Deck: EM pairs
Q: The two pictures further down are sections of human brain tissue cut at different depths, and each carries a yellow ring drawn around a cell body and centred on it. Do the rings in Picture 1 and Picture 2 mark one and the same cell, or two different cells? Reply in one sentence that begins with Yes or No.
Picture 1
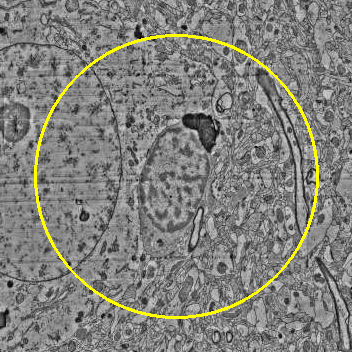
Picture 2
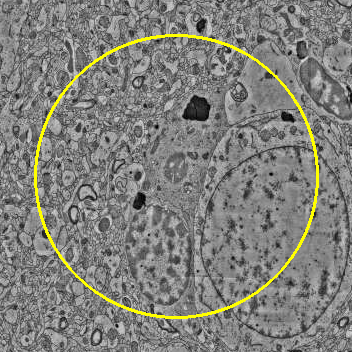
No, one ring marks one cell and the other ring marks another.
